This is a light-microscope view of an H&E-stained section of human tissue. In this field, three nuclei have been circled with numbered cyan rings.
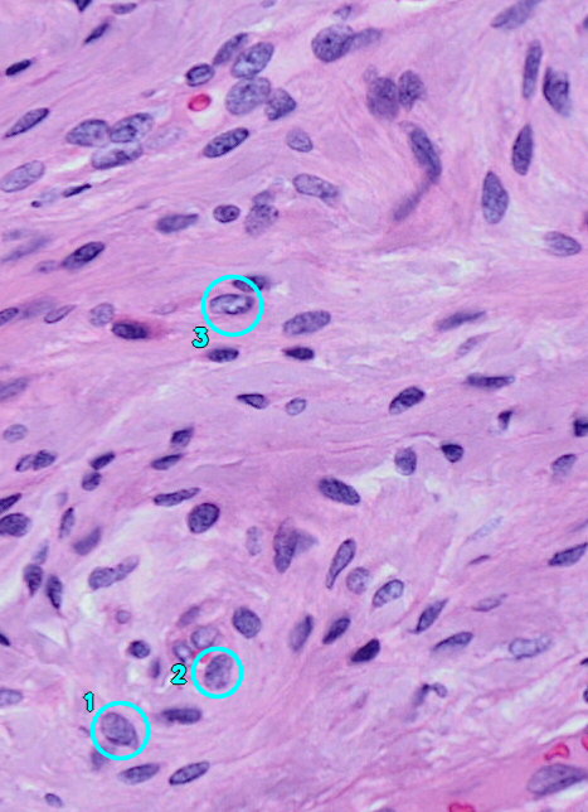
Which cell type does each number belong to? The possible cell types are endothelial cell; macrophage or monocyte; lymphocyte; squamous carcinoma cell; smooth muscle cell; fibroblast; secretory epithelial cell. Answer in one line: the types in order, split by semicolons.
fibroblast; endothelial cell; endothelial cell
